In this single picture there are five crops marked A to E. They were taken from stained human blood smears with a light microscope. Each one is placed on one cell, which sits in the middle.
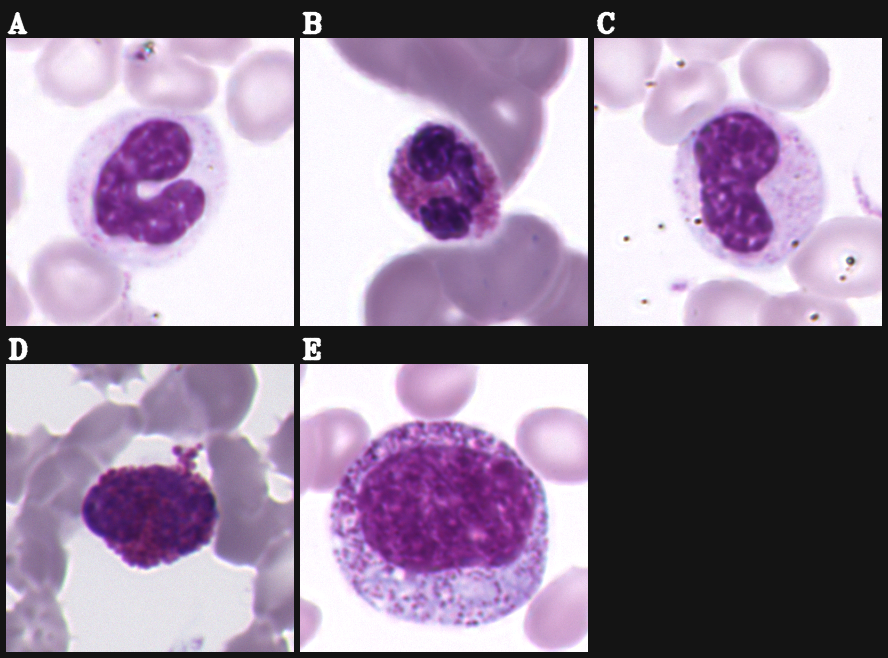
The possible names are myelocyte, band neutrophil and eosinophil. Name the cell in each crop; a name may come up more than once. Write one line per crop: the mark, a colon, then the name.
A: band neutrophil
B: eosinophil
C: band neutrophil
D: eosinophil
E: myelocyte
